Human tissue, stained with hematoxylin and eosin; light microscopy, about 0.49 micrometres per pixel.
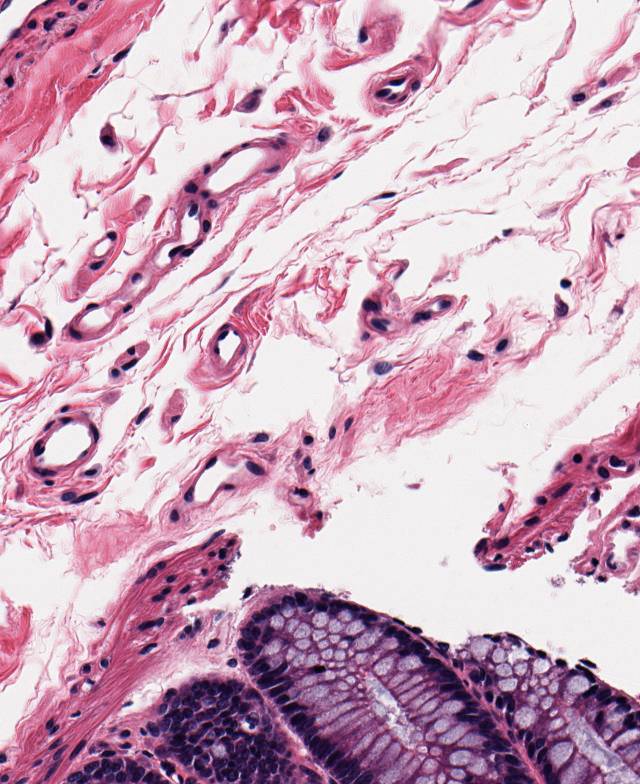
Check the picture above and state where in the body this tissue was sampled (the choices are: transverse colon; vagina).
transverse colon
